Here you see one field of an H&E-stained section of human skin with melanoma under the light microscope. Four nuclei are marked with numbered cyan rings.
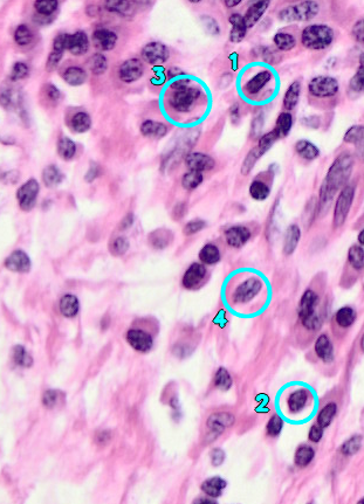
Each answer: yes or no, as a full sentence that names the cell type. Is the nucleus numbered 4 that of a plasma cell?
No, as for cell 4, it is a lymphocyte and not a plasma cell.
